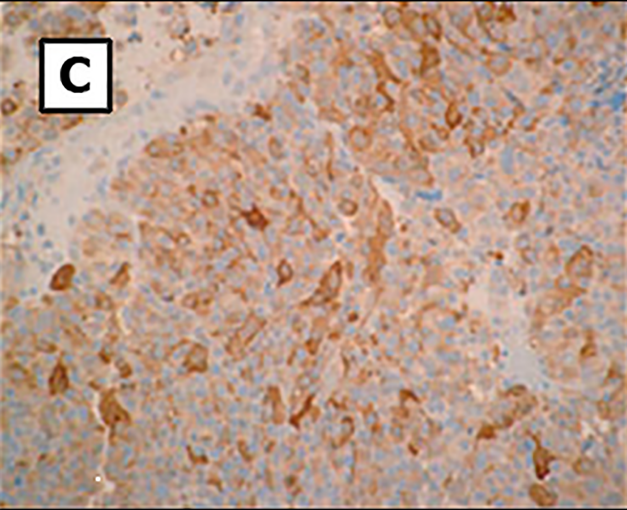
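Sheets of tumor cells are seen, with blue nuclei and cytoplasm that is stained brown in many of them. The brown is cytoplasmic and varies from faint to strong from cell to cell. Some cells stand out as dark brown, angular or tapering shapes. Others have only pale blue nuclei with little or no brown around them. The stained cells are spread through the tumor rather than confined to one area.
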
